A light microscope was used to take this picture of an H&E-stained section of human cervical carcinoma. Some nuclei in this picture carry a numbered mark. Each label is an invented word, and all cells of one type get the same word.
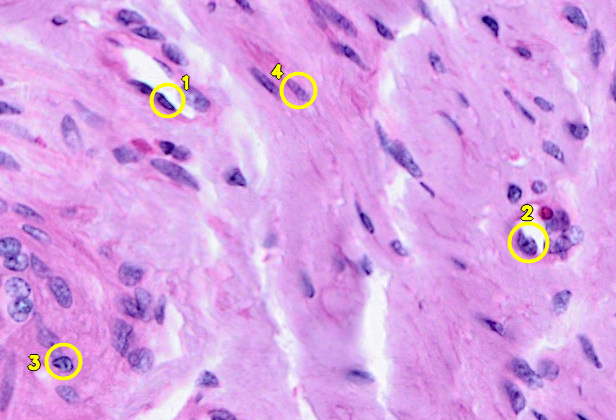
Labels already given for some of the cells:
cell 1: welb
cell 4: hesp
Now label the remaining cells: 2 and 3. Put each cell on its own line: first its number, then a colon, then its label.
2: welb
3: hesp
